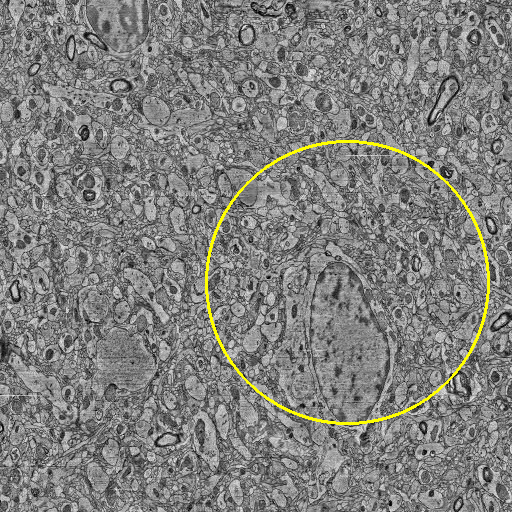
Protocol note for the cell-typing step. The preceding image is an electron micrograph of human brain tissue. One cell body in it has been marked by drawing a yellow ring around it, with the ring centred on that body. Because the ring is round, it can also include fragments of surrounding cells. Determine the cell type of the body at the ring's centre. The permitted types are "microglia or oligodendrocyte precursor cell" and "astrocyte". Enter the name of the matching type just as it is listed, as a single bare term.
microglia or oligodendrocyte precursor cell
